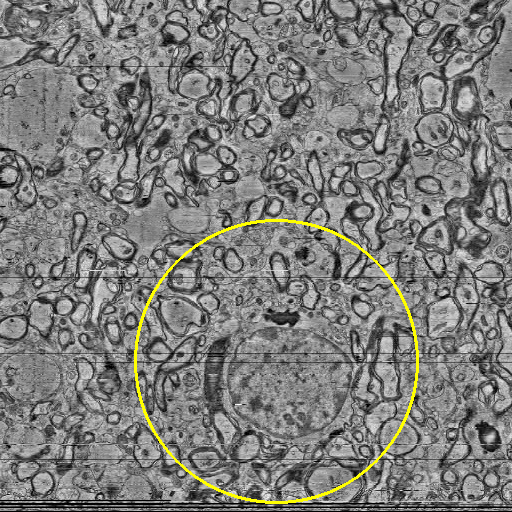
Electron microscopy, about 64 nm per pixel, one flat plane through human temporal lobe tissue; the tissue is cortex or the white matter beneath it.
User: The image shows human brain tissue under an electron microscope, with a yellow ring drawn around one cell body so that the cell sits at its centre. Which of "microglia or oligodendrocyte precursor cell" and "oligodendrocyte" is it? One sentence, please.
At the centre of the ring sits an oligodendrocyte.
